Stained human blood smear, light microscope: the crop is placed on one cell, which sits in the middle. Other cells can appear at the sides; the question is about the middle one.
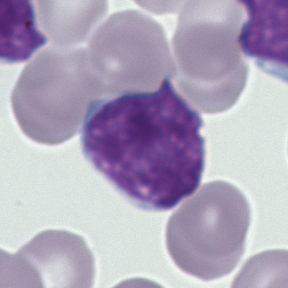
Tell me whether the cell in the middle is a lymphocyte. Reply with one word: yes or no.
yes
